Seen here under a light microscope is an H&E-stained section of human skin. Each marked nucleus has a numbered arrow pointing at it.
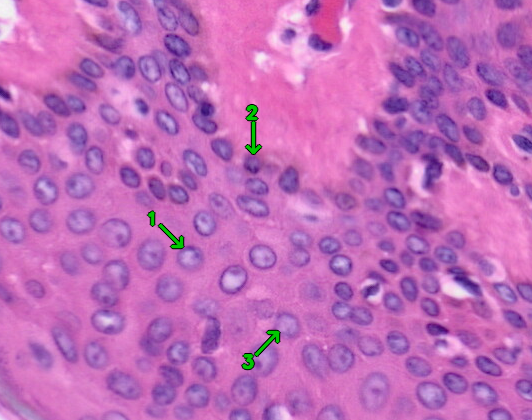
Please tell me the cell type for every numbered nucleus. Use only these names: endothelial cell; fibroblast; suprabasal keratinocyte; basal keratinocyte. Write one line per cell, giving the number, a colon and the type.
1: suprabasal keratinocyte
2: basal keratinocyte
3: suprabasal keratinocyte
